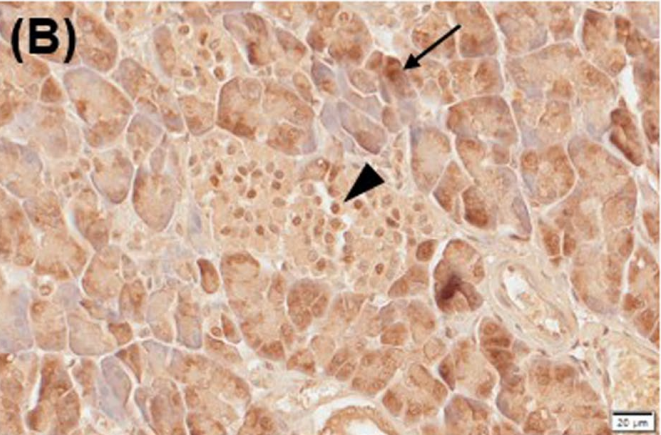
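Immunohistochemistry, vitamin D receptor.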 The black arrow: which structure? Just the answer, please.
Acini.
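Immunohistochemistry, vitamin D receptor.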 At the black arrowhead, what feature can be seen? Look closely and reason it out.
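The arrowhead points into a patch of small, closely packed rounded cells unlike the surrounding clusters. The patch lies among larger granular clusters of cells.
Answer: islets of Langerhans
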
